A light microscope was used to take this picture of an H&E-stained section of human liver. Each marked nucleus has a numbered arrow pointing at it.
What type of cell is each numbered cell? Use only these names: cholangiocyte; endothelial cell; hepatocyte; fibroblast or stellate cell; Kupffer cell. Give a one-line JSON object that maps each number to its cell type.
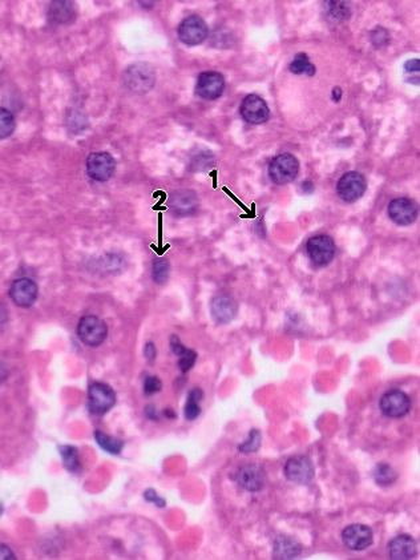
{"1": "endothelial cell", "2": "fibroblast or stellate cell"}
